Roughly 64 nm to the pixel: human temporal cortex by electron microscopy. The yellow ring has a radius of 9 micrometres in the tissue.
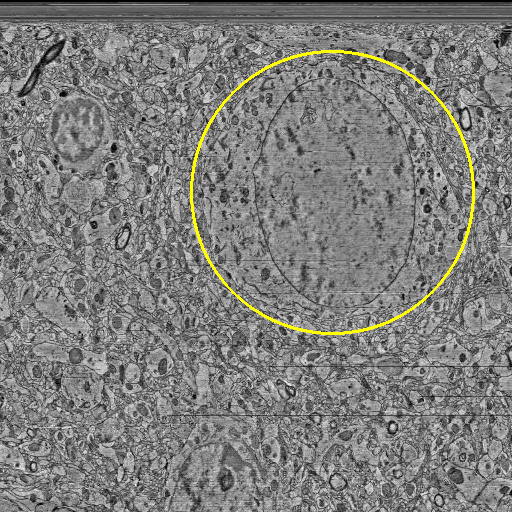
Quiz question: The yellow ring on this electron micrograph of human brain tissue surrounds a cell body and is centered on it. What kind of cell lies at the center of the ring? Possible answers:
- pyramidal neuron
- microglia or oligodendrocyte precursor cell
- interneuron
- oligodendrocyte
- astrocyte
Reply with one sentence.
The ring's center lies on a pyramidal neuron.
